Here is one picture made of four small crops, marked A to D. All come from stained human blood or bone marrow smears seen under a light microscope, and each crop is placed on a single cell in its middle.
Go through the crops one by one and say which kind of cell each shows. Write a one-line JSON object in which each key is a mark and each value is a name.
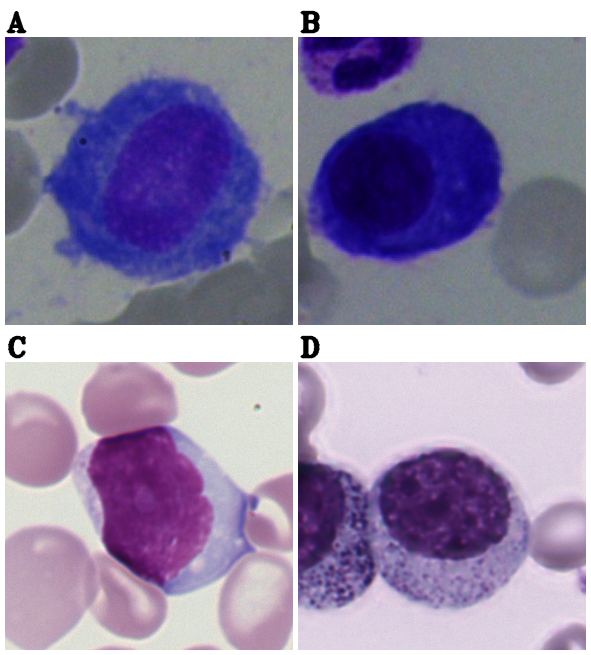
{"A": "plasma cell", "B": "plasma cell", "C": "blast", "D": "myelocyte"}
